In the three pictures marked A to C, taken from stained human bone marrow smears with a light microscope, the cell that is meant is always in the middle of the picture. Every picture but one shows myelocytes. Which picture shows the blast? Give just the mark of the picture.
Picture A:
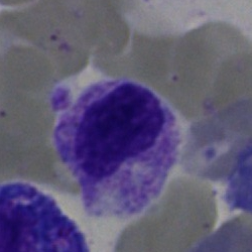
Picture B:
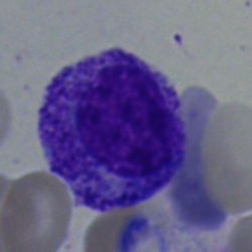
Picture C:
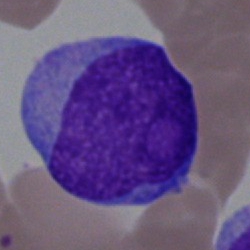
C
